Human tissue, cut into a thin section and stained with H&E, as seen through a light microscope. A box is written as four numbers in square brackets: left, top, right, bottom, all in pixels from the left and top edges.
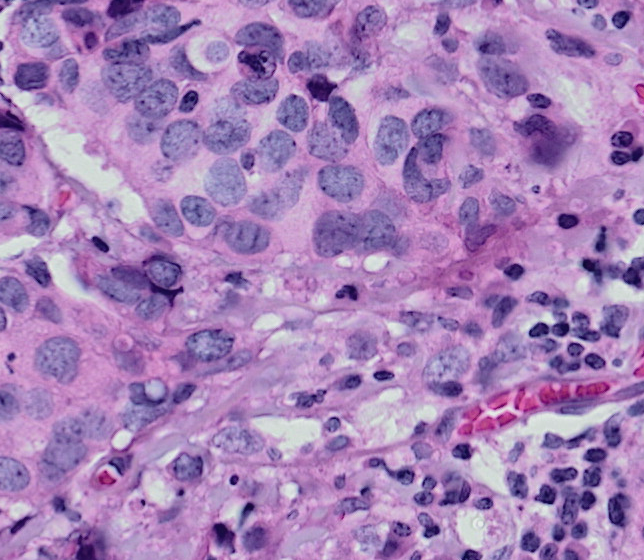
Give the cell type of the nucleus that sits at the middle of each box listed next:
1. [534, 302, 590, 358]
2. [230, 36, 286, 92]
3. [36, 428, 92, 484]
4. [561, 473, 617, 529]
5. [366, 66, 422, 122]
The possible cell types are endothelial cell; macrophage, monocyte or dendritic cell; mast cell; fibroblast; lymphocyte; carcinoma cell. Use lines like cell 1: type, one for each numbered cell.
cell 1: lymphocyte
cell 2: carcinoma cell
cell 3: carcinoma cell
cell 4: lymphocyte
cell 5: carcinoma cell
